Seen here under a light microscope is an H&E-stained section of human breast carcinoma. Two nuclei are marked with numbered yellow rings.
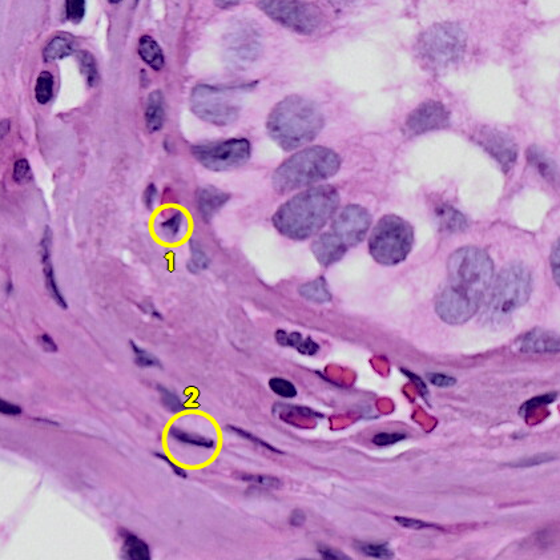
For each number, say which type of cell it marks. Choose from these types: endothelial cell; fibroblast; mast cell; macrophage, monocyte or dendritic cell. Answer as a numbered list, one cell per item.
1. endothelial cell
2. fibroblast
